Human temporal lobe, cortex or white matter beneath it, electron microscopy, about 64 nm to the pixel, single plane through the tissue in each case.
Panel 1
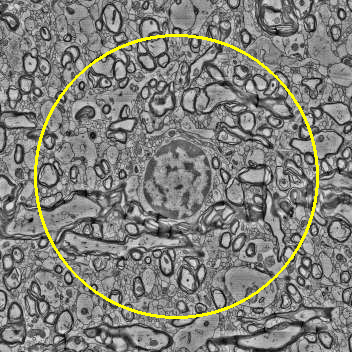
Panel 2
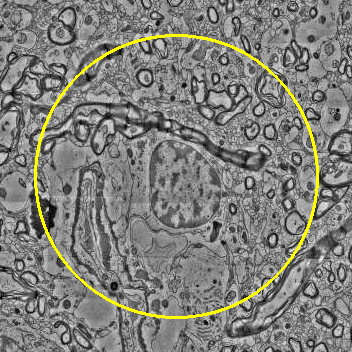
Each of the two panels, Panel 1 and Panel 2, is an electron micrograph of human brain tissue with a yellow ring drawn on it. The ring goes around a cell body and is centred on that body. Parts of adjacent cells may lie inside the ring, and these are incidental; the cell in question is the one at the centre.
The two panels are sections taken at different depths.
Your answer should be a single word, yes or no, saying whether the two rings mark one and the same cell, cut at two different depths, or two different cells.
no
